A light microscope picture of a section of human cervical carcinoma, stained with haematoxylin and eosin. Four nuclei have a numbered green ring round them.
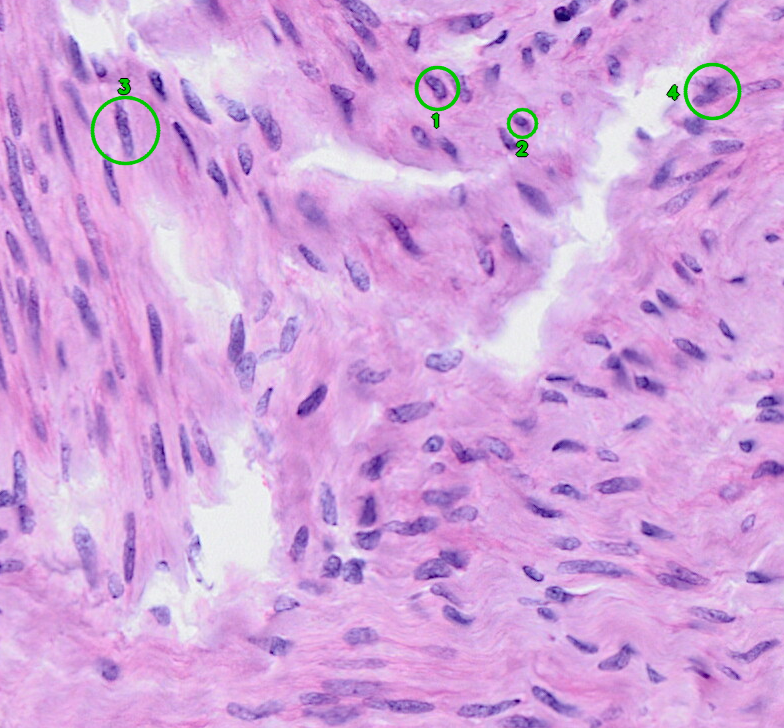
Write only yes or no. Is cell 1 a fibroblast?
no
